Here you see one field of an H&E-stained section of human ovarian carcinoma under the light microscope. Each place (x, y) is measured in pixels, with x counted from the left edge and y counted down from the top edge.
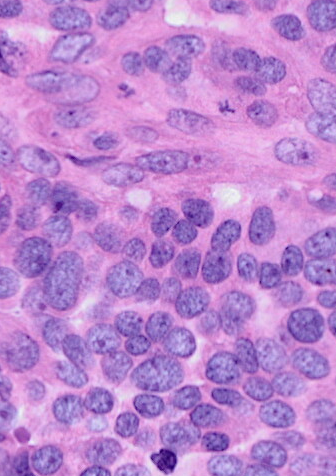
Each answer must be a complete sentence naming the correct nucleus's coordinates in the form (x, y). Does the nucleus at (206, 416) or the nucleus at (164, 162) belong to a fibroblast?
Rather than the other nucleus, the one at (164, 162) belongs to a fibroblast.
